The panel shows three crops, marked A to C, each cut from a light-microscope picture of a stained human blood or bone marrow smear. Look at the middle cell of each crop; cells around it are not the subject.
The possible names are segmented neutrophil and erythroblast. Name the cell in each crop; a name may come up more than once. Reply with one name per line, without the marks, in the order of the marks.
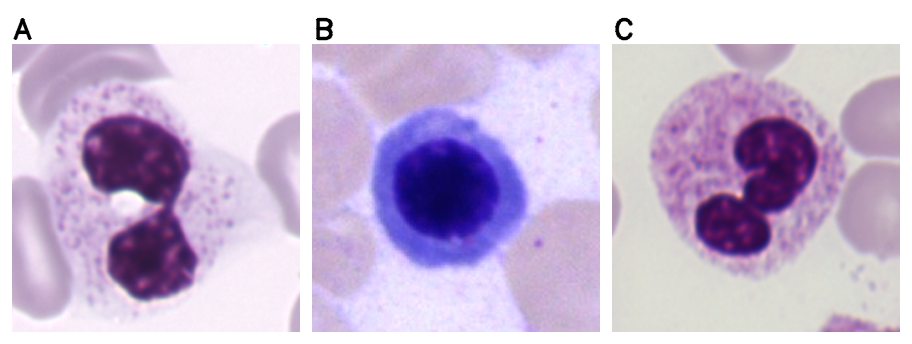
segmented neutrophil
erythroblast
segmented neutrophil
